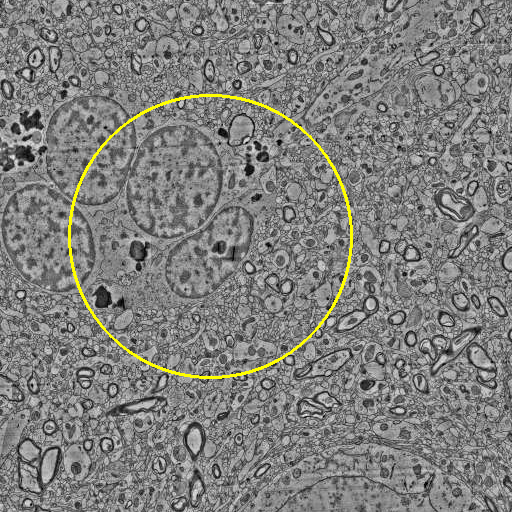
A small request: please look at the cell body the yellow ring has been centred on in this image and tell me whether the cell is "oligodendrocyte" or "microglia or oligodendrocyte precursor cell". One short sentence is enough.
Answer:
The cell marked by the ring is an oligodendrocyte.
